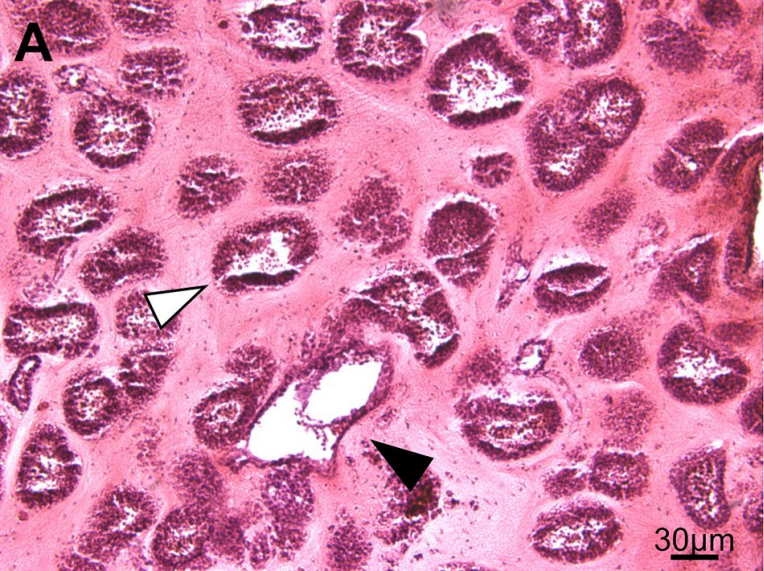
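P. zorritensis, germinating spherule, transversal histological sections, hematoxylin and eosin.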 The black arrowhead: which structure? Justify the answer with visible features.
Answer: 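The black arrowhead lies beside a larger, open, clear lumen with a thin wall. This open lumen differs from the many compact, cell-filled rounded profiles around it. The answer: central vessel.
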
